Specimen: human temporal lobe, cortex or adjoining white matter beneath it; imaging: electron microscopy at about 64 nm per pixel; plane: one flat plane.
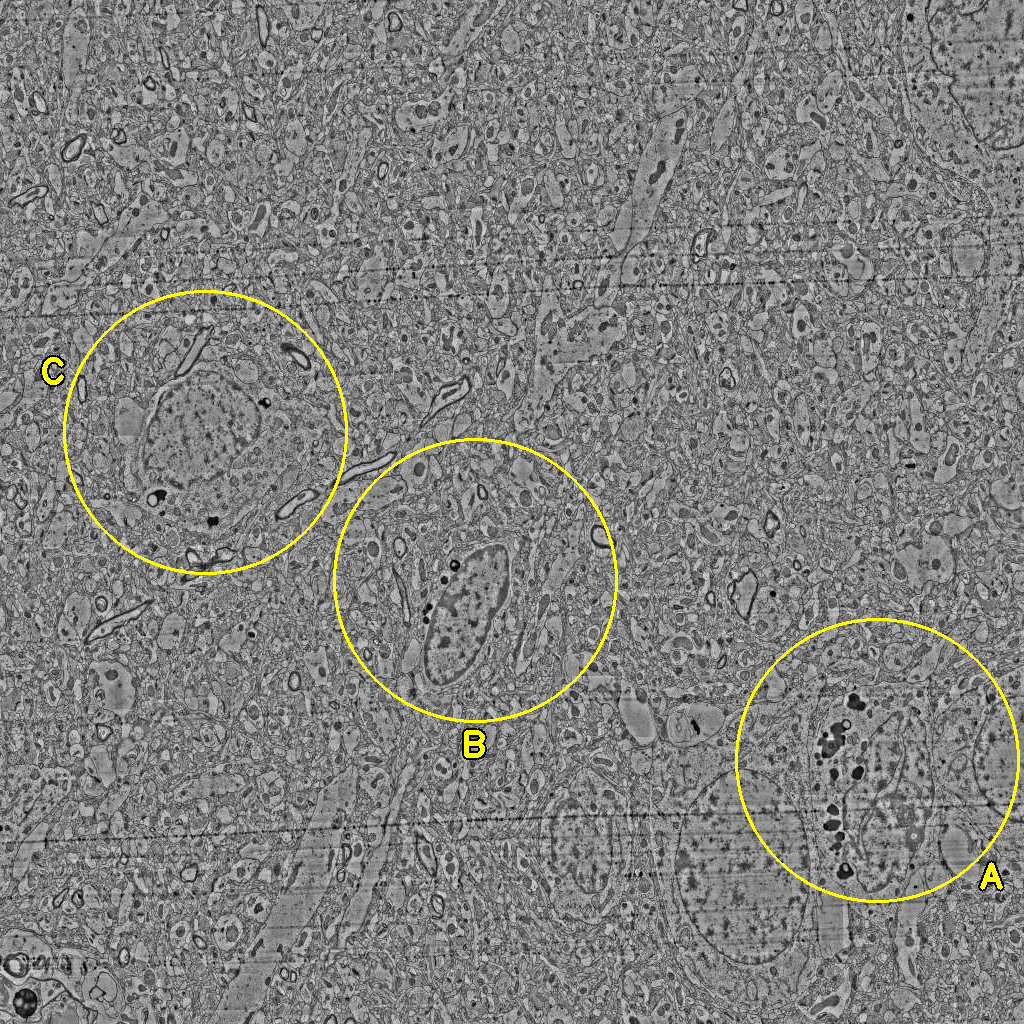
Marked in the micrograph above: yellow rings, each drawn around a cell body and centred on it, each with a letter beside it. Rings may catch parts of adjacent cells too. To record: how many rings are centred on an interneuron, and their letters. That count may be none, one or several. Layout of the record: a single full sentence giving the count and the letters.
There exist two rings lettered A and C, and an interneuron lies at the centre of each.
